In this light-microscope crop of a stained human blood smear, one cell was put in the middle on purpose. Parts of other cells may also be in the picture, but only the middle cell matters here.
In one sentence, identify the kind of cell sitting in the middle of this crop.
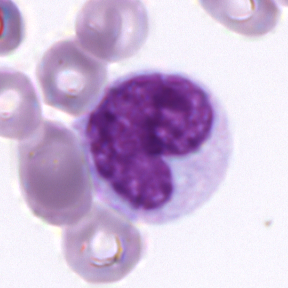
The single cell at the center of the crop is a metamyelocyte.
